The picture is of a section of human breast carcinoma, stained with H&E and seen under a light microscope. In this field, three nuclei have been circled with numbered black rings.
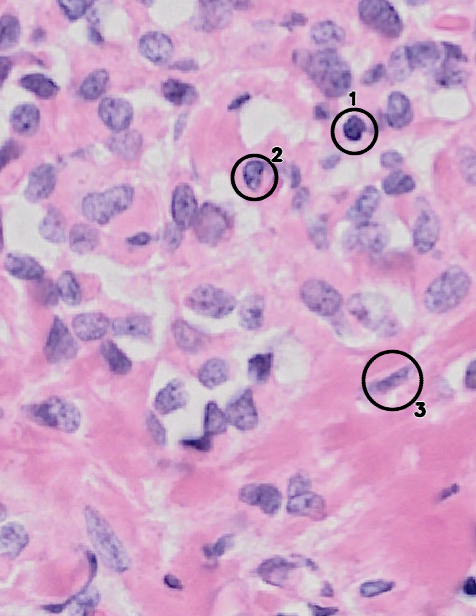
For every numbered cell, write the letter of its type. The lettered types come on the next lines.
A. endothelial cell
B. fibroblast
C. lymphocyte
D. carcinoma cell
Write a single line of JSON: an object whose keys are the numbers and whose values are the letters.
{"1": "C", "2": "A", "3": "B"}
